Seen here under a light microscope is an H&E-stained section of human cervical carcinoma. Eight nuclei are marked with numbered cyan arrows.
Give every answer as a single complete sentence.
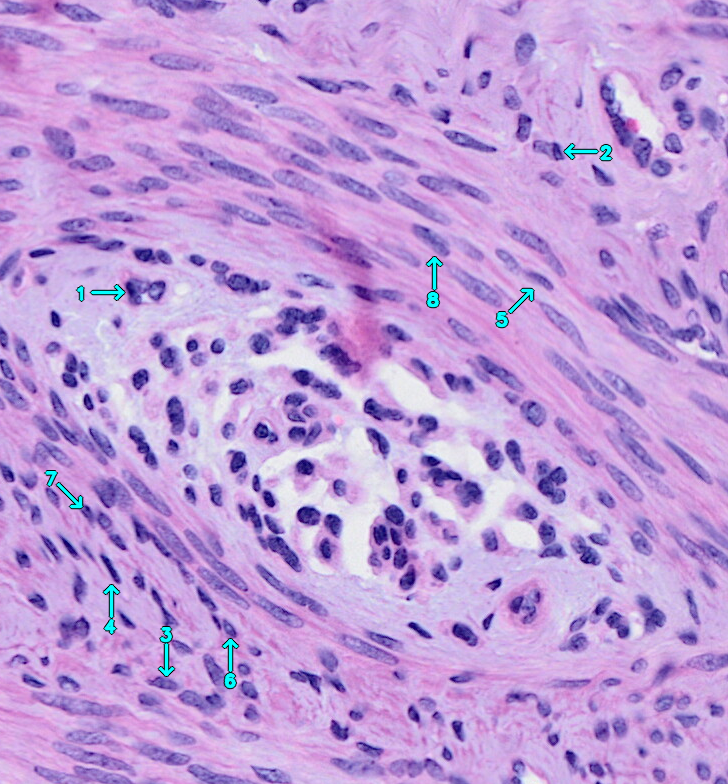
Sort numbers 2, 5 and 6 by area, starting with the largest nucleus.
By area, largest first, they run 2, 5, 6.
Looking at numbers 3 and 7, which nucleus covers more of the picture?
Nucleus 3 covers more area, about 2 times as much as nucleus 7.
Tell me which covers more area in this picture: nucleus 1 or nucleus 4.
Nucleus 1 is the larger one, covering about 2.5 times the area of nucleus 4.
